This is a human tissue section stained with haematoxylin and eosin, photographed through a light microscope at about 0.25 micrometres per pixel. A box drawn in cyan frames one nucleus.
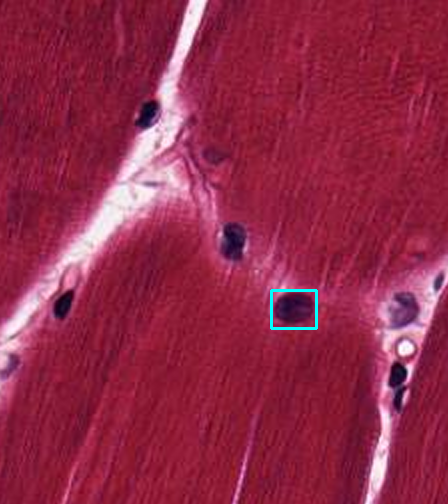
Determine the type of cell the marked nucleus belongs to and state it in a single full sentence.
The nucleus marked in the section is that of a skeletal muscle fibre.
